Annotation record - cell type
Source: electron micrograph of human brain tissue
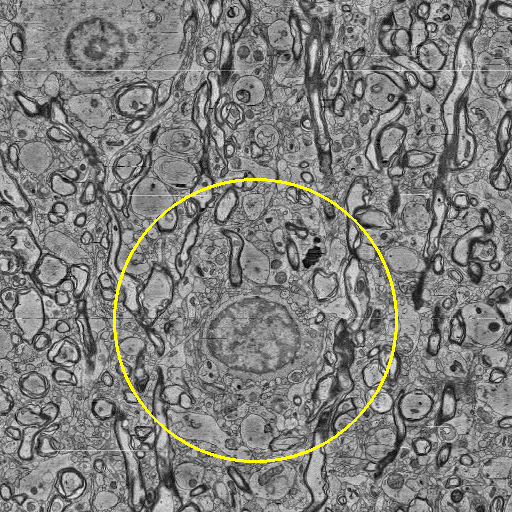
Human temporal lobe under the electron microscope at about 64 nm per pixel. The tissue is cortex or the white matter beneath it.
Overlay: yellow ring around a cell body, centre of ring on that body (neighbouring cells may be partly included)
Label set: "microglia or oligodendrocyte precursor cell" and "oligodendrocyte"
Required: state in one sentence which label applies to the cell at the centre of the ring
This cell should be labelled as an oligodendrocyte.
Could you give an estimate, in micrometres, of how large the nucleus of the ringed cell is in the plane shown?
The nucleus of the ringed cell is approximately 6 by 5 micrometres in this plane.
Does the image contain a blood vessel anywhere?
No, none shows.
